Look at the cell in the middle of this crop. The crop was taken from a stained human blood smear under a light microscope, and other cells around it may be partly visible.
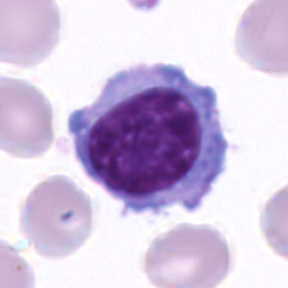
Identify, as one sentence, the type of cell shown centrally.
The cell in the exact centre of the crop is a plasma cell.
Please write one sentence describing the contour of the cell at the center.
Instead of a smooth edge, this cell has an irregular one, ragged or with projections.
